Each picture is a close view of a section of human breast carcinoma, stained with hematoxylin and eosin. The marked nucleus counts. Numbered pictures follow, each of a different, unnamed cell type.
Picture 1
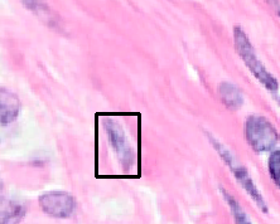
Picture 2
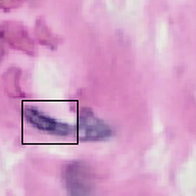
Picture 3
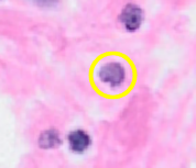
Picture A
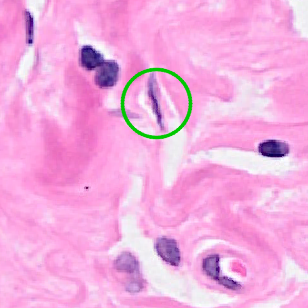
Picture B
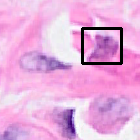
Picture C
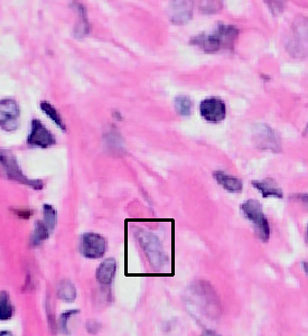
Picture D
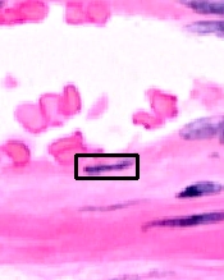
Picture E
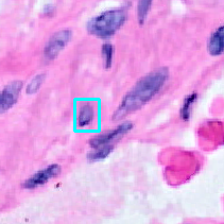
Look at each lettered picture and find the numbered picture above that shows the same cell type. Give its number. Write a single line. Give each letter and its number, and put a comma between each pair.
A 1, B 2, C 2, D 2, E 2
